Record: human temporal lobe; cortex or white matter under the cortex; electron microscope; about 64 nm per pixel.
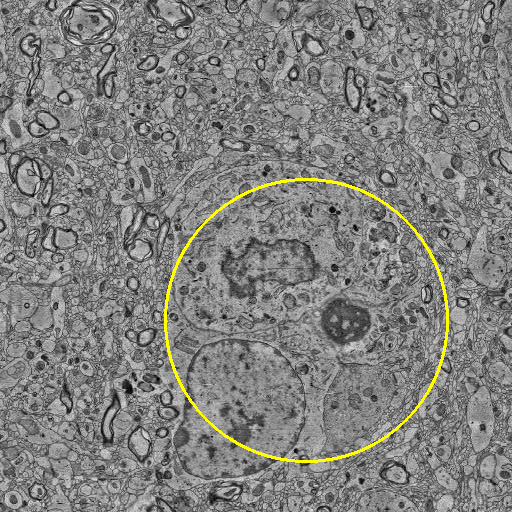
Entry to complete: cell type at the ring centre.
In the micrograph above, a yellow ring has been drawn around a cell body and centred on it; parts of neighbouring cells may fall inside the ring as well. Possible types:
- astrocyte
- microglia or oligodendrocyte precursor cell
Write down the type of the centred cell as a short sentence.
The ring is centred on a microglial cell or oligodendrocyte precursor cell.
